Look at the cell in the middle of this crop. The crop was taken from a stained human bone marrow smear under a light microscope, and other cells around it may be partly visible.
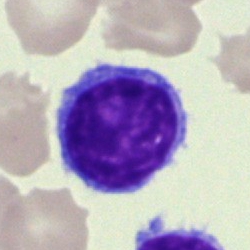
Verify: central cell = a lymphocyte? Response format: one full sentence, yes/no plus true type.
Yes, the cell at the centre of the field is a lymphocyte.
